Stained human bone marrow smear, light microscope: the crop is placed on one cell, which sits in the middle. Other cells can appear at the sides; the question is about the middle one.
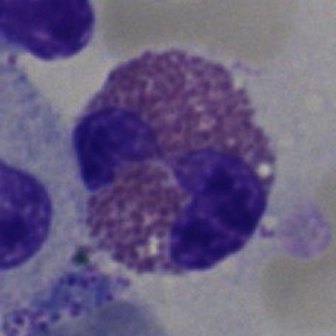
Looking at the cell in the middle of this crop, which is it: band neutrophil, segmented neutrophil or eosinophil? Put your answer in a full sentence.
The crop shows an eosinophil in its centre.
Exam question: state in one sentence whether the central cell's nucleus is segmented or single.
In short, this nucleus is segmented into two or more parts.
